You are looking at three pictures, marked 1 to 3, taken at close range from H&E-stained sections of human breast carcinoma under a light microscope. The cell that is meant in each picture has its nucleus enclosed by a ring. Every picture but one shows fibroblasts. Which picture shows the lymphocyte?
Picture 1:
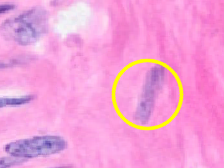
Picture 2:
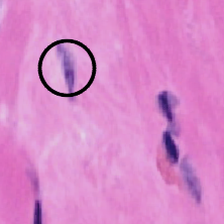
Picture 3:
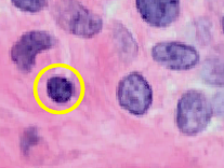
3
